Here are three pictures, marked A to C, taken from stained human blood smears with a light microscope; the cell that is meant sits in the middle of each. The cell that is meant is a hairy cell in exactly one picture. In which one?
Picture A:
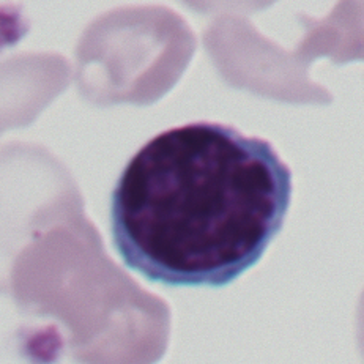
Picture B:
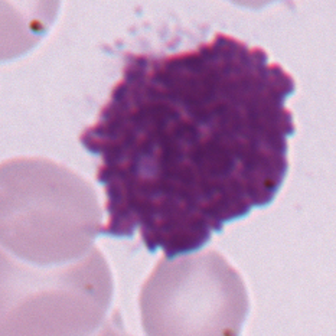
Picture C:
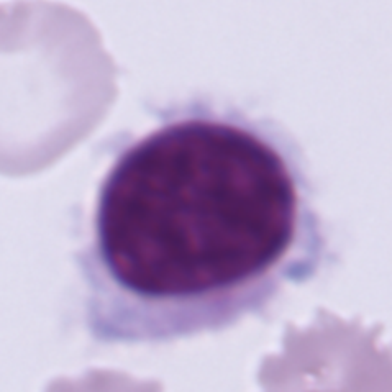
C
